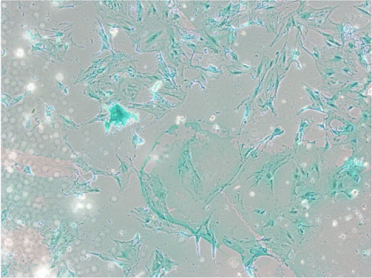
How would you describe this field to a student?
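The stained cells are irregular and often stellate or elongated, with thin processes reaching out toward their neighbours. The cells are spread loosely over the dish rather than forming a continuous sheet.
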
